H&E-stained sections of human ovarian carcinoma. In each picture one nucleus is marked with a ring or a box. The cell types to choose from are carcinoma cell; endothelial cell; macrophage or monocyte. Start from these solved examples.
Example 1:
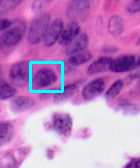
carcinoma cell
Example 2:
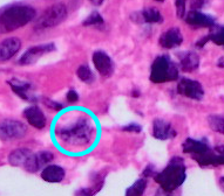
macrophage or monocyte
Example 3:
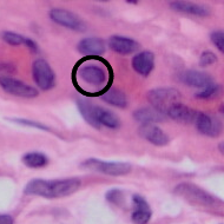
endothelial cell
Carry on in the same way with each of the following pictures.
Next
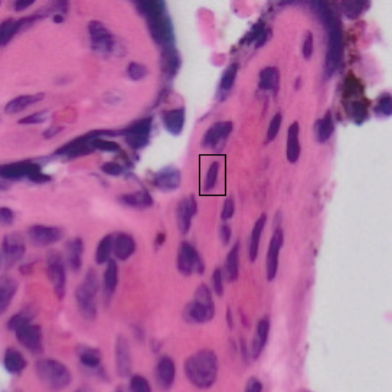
endothelial cell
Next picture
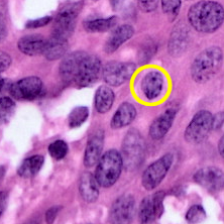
macrophage or monocyte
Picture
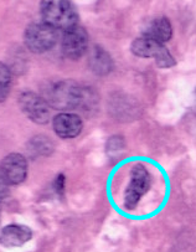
macrophage or monocyte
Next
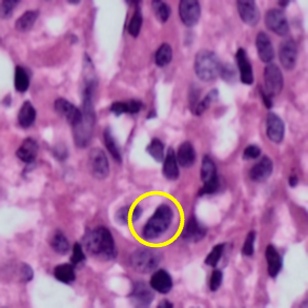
macrophage or monocyte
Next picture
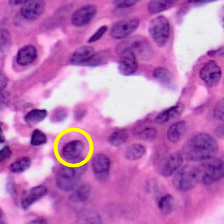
macrophage or monocyte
